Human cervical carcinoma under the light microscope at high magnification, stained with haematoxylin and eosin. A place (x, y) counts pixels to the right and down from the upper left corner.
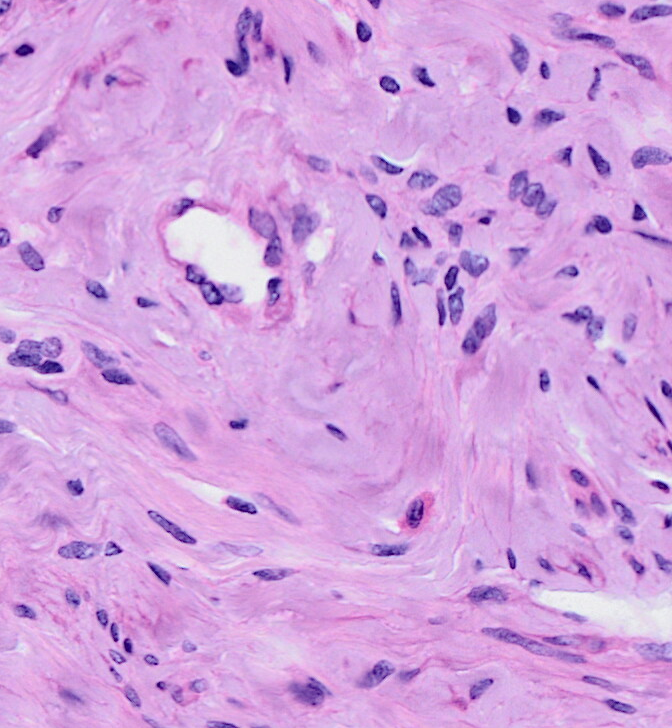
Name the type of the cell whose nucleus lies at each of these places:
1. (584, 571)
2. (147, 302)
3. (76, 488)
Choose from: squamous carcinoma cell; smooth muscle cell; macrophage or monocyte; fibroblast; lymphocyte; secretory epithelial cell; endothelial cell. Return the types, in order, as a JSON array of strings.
["smooth muscle cell", "fibroblast", "fibroblast"]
